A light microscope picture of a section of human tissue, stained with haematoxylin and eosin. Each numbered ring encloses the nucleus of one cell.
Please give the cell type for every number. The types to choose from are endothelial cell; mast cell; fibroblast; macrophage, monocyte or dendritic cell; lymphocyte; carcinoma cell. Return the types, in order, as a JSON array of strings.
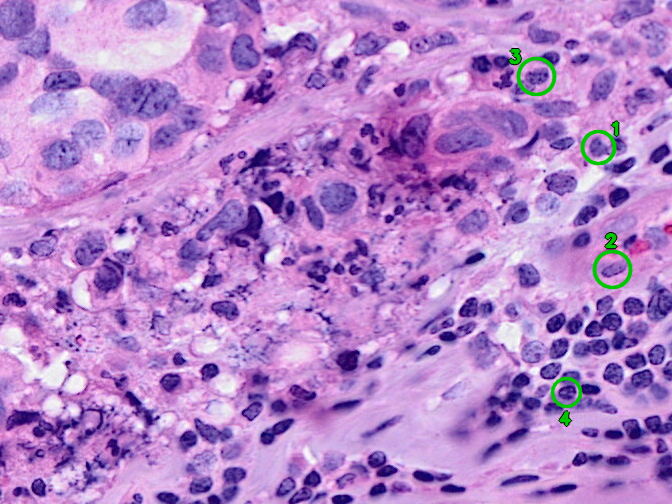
["lymphocyte", "endothelial cell", "lymphocyte", "lymphocyte"]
